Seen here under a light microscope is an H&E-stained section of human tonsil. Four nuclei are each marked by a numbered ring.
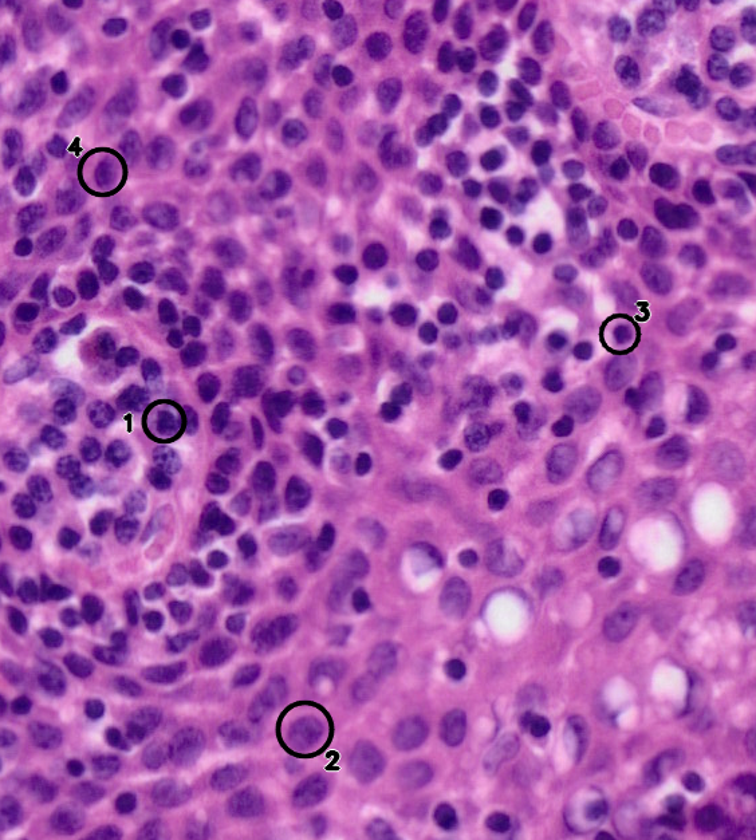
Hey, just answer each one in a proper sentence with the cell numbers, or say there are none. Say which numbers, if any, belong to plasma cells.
Only one of the numbered nuclei, number 1, belongs to a plasma cell.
